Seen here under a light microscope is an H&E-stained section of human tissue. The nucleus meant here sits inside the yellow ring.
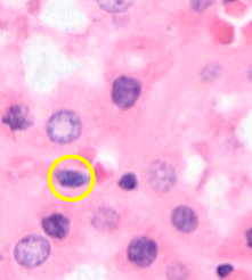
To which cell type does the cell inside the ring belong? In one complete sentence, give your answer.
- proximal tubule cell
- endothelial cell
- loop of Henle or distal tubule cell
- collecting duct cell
Cytologically, the cell inside the ring is to be regarded as an endothelial cell.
